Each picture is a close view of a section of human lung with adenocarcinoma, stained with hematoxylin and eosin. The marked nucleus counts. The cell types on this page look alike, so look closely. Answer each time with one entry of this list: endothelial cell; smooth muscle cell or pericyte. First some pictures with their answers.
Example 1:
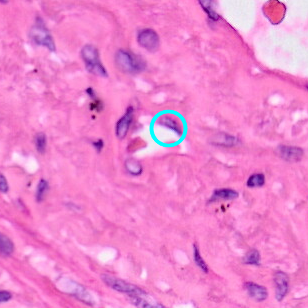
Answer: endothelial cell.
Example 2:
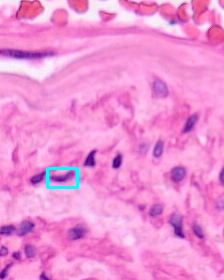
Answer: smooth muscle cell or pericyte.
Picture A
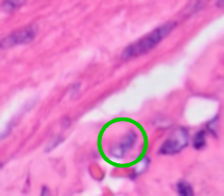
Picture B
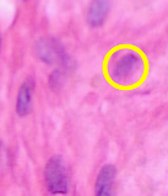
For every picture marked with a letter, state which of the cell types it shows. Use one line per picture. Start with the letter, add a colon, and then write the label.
A: endothelial cell.
B: smooth muscle cell or pericyte.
